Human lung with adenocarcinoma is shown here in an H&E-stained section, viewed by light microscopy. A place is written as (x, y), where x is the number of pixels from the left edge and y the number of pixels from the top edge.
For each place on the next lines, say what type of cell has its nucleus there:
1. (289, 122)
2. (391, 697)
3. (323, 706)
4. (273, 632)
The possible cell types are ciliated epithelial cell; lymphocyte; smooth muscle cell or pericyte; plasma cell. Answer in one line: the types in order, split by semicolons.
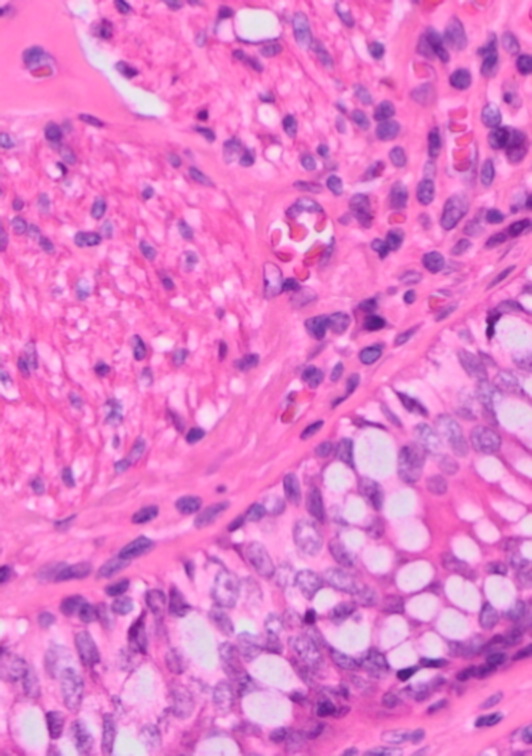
smooth muscle cell or pericyte; ciliated epithelial cell; ciliated epithelial cell; ciliated epithelial cell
